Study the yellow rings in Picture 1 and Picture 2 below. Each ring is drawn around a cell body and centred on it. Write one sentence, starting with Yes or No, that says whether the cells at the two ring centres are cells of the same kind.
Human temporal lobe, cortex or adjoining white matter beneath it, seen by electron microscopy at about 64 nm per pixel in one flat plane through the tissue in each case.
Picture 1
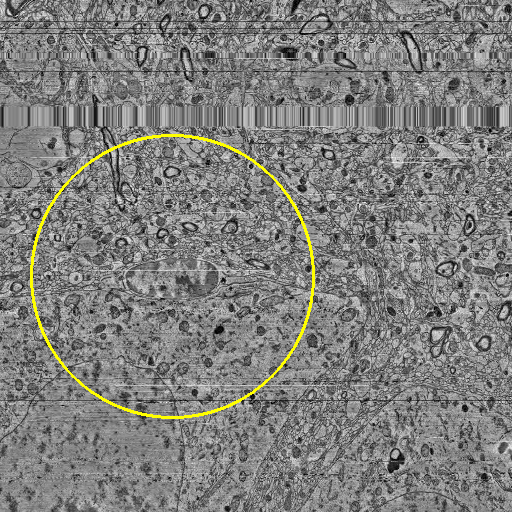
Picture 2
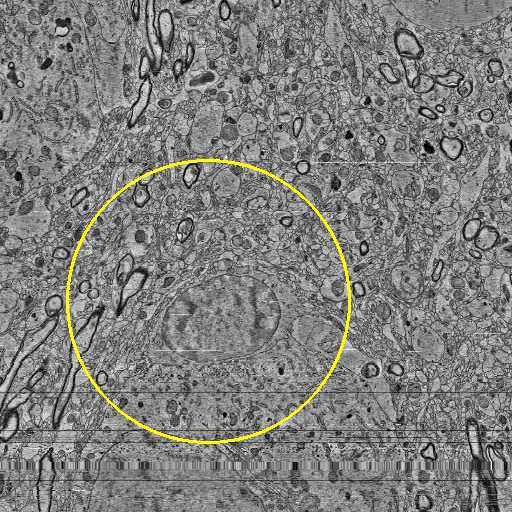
No, the cells at the ring centres are of two kinds.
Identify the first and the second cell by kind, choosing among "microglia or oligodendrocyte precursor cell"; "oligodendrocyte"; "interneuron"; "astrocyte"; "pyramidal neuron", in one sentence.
The one in the first picture is a microglial cell or oligodendrocyte precursor cell, while the one in the second is an oligodendrocyte.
